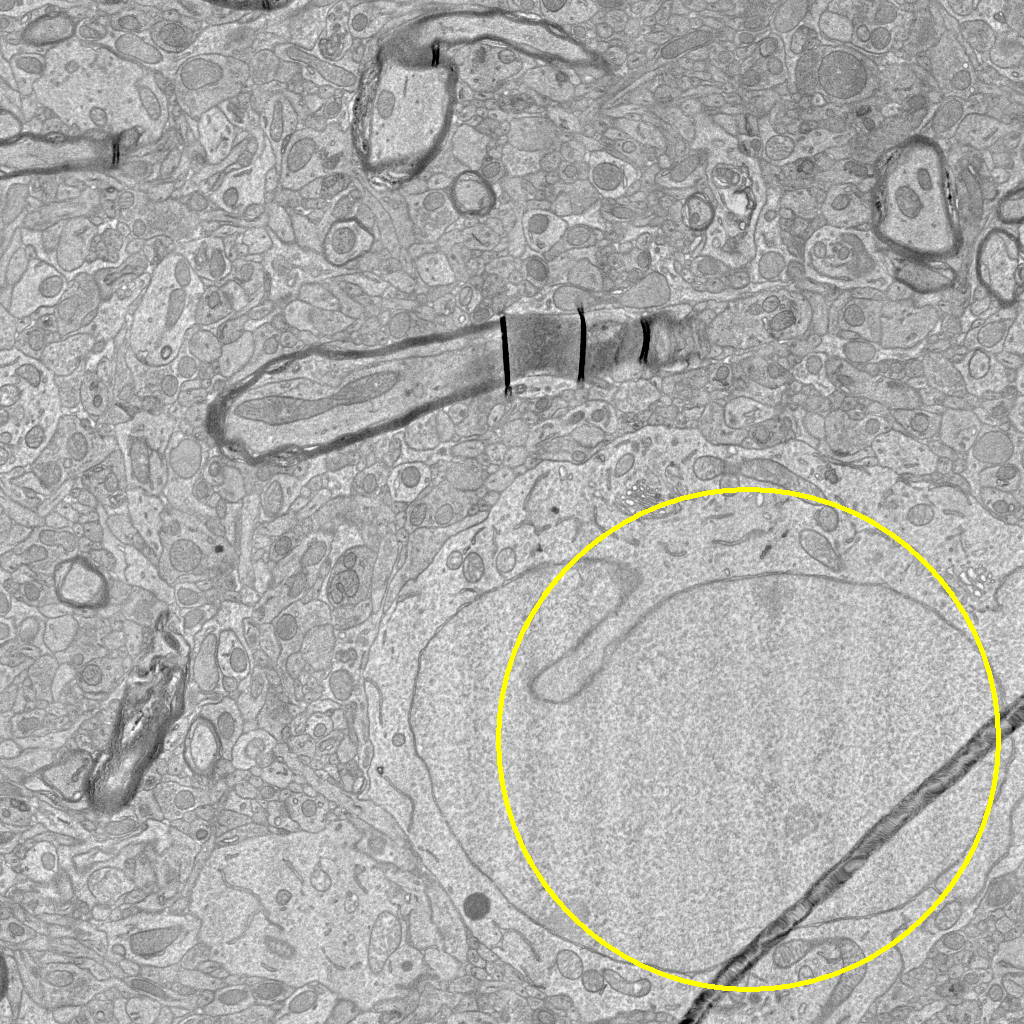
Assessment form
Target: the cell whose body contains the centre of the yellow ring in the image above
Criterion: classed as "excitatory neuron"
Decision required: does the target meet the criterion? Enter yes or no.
yes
